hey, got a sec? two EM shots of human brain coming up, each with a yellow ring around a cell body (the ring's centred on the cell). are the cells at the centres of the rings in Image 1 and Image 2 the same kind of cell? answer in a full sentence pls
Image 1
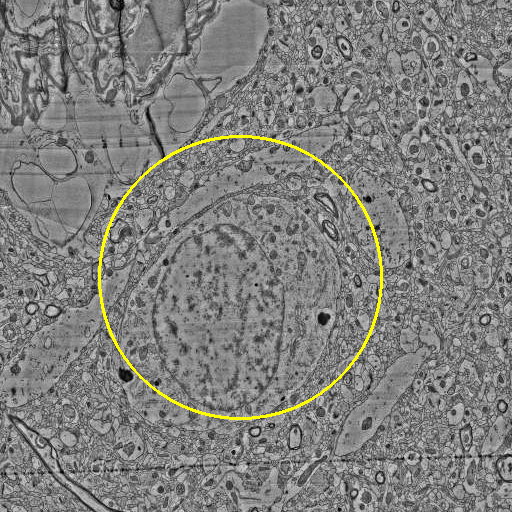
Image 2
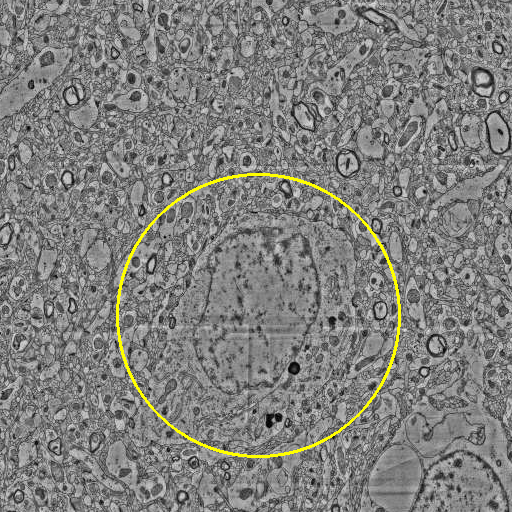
Yes, both are the same kind of cell.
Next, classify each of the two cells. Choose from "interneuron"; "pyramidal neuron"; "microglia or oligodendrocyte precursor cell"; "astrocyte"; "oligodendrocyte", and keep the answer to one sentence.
In both pictures the ring is centred on an interneuron.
